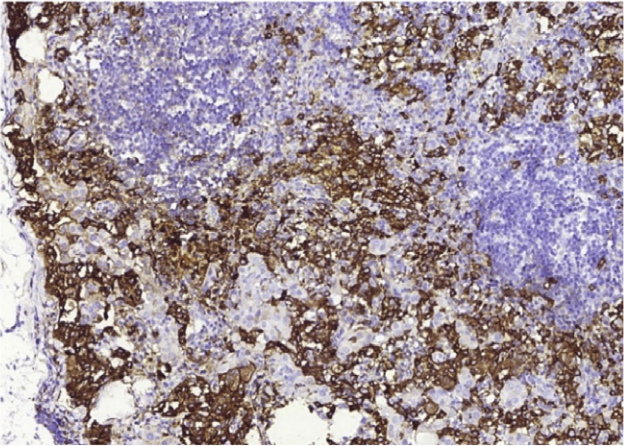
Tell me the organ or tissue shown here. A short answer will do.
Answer: lymph node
